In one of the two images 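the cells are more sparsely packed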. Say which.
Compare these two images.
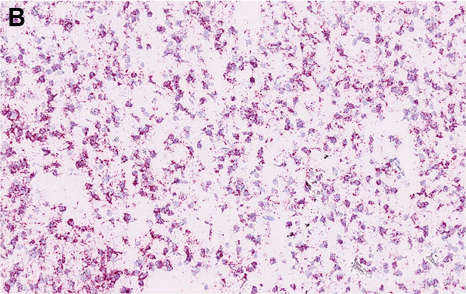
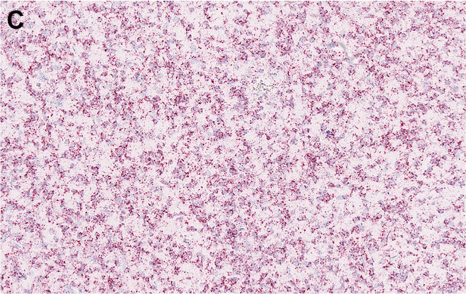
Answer: the first image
